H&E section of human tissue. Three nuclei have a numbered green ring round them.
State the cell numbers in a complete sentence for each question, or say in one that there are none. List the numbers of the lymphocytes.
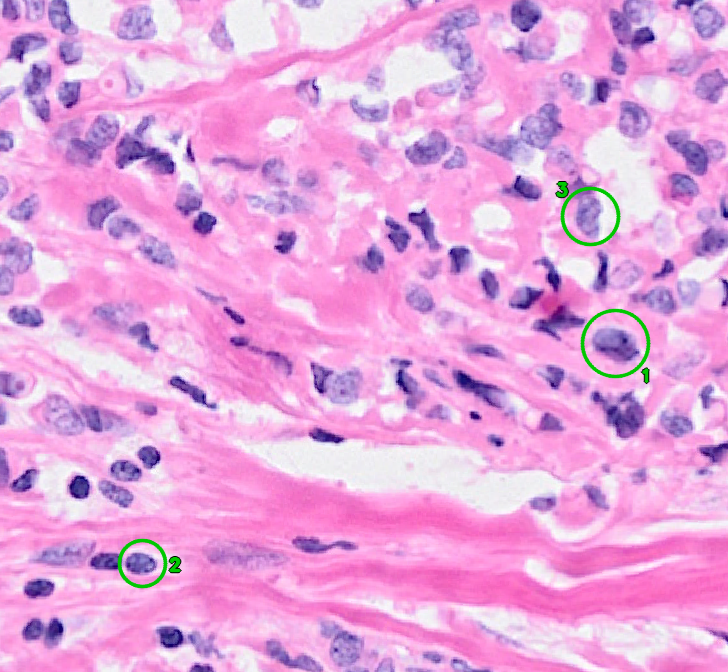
Cell 2 is a lymphocyte; every other numbered cell is something else.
